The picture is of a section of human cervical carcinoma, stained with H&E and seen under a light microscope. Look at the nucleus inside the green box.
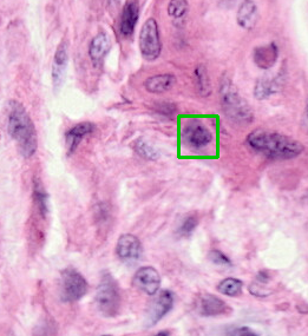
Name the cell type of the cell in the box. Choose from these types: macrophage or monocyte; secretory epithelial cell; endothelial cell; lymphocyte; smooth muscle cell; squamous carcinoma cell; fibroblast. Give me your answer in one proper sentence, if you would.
The category to which the cell in the box belongs is that of a squamous carcinoma cell.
